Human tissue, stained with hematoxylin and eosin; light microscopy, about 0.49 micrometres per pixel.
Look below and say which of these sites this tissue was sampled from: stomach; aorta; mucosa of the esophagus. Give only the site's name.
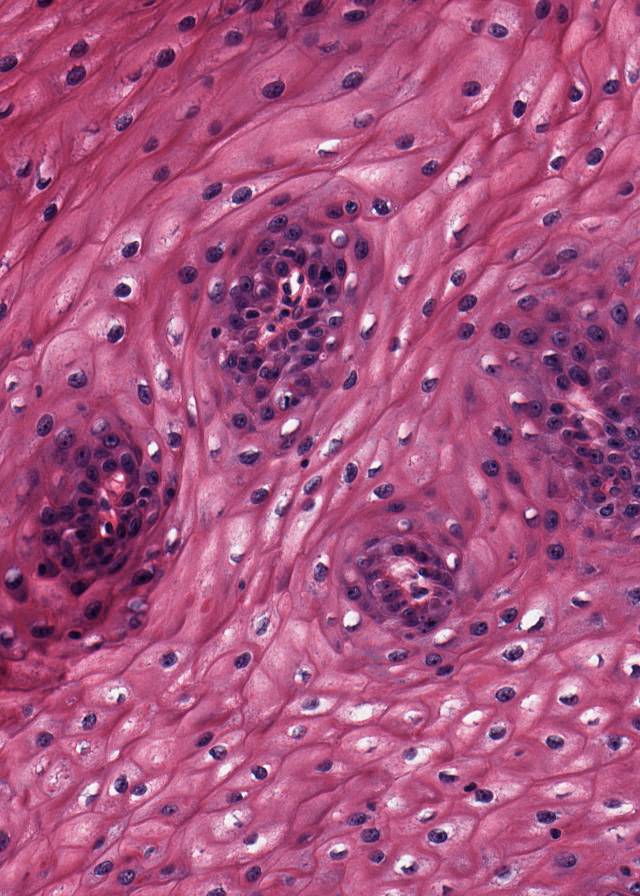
mucosa of the esophagus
